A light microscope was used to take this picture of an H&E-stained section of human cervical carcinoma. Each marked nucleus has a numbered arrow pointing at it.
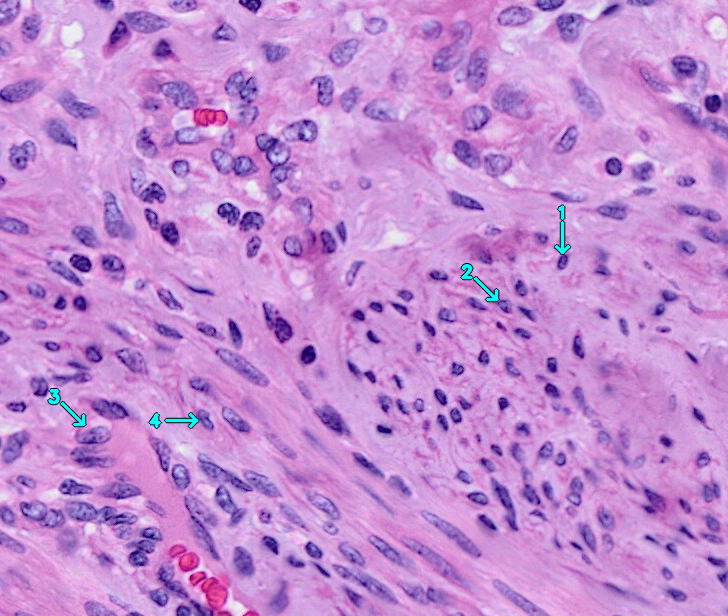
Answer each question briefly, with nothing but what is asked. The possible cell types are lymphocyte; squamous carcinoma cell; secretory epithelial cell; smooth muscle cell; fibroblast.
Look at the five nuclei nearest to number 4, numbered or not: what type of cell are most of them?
smooth muscle cell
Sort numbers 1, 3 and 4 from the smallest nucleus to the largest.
1, 4, 3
